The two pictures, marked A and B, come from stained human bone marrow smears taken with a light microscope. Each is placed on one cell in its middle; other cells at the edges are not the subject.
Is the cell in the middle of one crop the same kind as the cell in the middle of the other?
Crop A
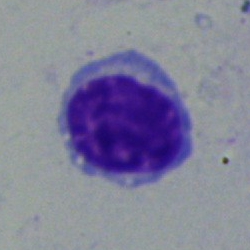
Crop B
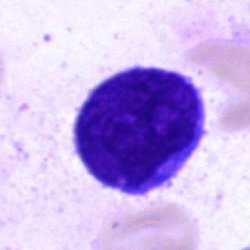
no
